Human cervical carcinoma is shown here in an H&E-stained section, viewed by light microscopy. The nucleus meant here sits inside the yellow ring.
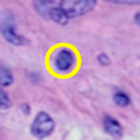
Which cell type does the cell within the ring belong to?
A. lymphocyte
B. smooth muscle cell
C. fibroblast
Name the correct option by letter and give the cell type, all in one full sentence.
Option B is right in classifying the cell within the ring as a smooth muscle cell.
